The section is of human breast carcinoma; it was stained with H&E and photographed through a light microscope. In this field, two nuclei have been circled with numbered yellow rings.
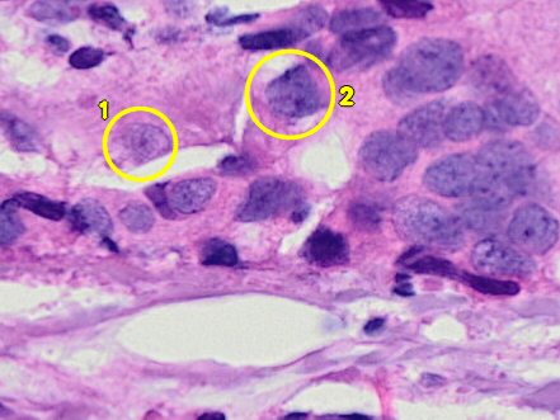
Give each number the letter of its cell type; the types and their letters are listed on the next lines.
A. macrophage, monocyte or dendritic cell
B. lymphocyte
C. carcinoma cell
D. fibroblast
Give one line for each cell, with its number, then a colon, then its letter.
1: D
2: C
